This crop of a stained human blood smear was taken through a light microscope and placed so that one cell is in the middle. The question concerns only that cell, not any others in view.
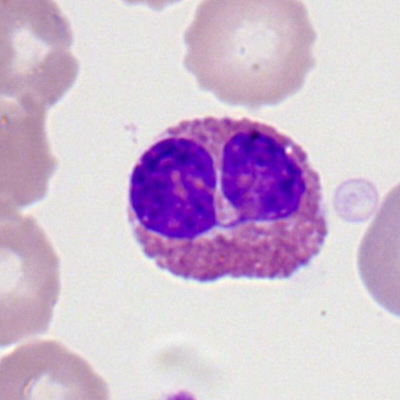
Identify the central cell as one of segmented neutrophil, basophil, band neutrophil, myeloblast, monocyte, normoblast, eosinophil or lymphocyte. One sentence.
The cell at the centre of the field is an eosinophil.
